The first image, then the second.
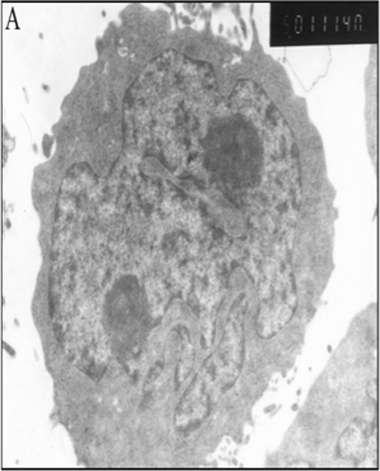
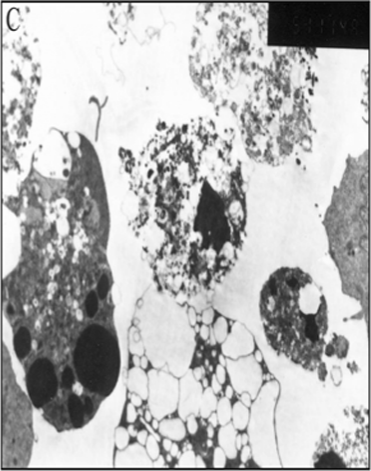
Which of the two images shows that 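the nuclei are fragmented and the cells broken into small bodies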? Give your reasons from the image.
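Second image: cells are disrupted, with dense dark clumps and small round fragments. First image: one cell with a single large, continuous nucleus and an unbroken surface. So: the second image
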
